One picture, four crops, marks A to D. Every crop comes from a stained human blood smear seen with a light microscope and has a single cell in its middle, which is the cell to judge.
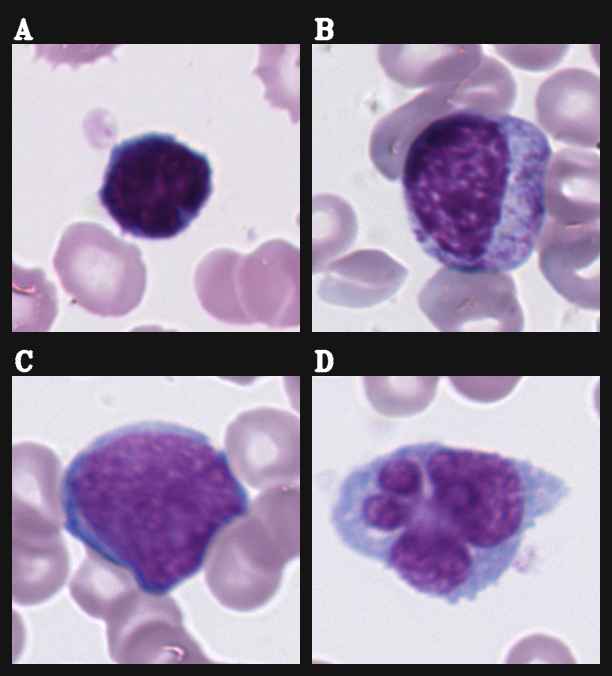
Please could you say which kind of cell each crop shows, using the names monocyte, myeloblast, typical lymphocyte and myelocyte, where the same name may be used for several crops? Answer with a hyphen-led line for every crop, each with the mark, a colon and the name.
- A: typical lymphocyte
- B: myelocyte
- C: myeloblast
- D: monocyte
